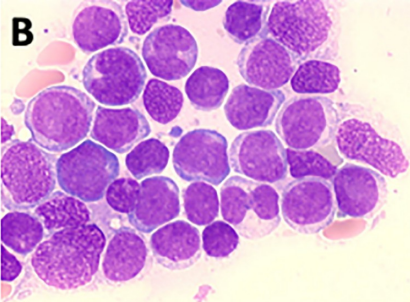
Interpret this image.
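This bone marrow smear is crowded with large blast cells packed side by side. The cytoplasm is smooth without clear holes, and a few red cells lie at the edges.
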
